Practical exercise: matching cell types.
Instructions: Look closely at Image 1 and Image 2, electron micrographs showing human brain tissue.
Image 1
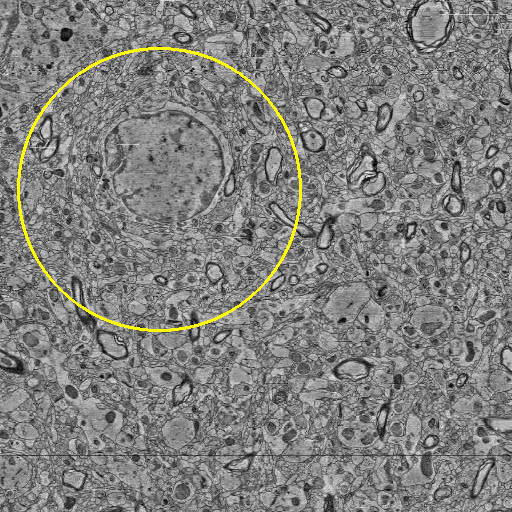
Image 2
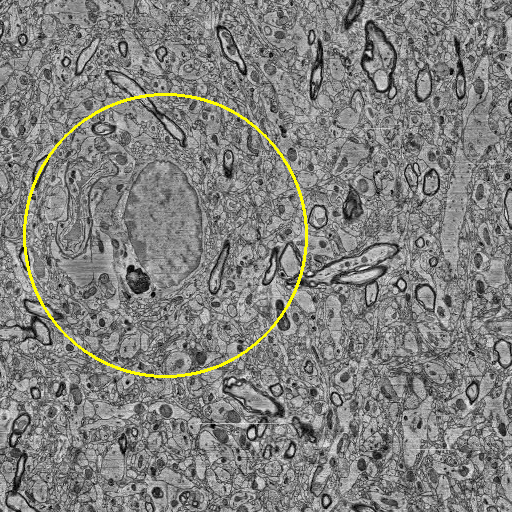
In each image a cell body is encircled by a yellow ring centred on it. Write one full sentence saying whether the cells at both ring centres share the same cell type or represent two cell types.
Across Image 1 and Image 2, the cells at the ring centres represent two cell types.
